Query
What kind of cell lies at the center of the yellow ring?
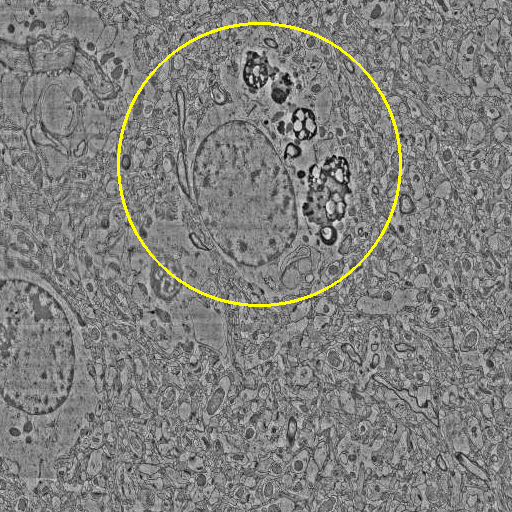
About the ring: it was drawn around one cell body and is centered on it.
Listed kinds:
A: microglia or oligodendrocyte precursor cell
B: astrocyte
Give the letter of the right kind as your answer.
B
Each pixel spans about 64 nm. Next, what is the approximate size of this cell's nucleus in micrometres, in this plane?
In this plane, approximately 9 by 6 micrometers.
